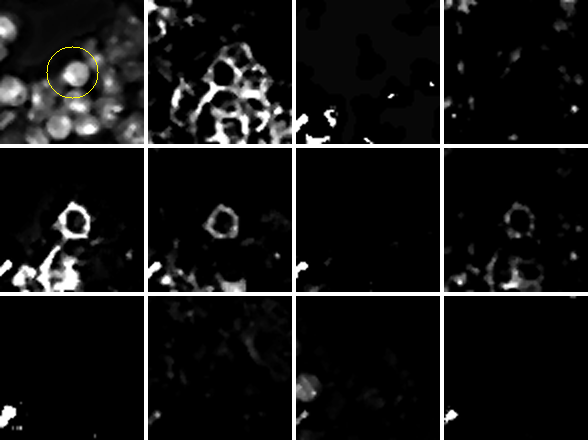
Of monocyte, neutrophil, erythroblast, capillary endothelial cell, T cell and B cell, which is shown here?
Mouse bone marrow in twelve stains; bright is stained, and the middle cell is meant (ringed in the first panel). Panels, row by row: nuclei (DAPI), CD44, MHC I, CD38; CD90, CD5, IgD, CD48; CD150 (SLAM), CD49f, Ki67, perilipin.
T cell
